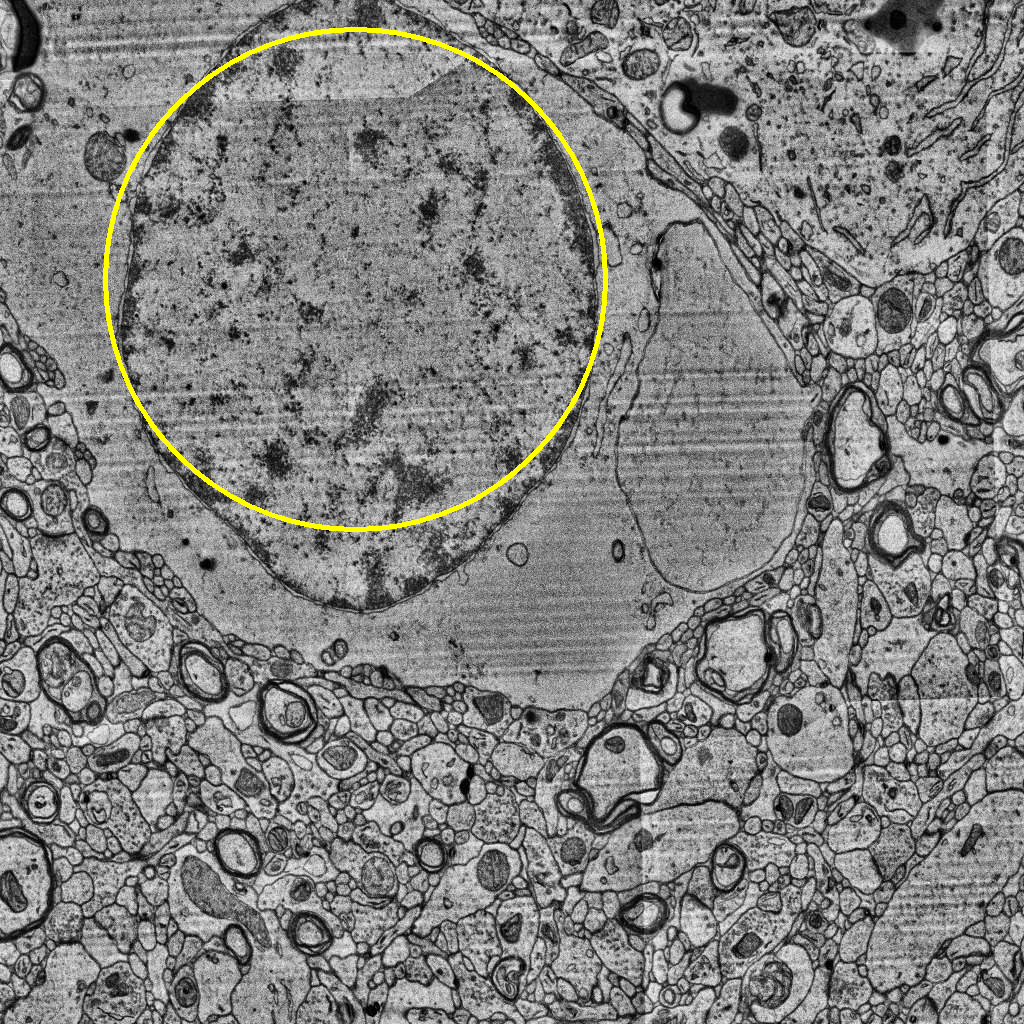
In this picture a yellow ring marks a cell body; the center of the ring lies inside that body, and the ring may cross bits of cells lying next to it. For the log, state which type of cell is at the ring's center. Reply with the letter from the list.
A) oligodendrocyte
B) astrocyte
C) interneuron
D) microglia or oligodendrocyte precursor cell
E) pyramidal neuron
B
